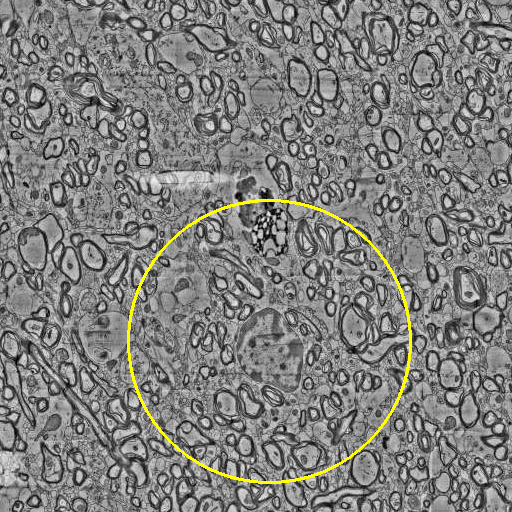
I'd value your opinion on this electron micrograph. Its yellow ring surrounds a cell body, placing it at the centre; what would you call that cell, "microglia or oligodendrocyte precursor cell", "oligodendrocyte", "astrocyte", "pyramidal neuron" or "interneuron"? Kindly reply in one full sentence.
It is a microglial cell or oligodendrocyte precursor cell that sits centred within the yellow ring in this micrograph.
